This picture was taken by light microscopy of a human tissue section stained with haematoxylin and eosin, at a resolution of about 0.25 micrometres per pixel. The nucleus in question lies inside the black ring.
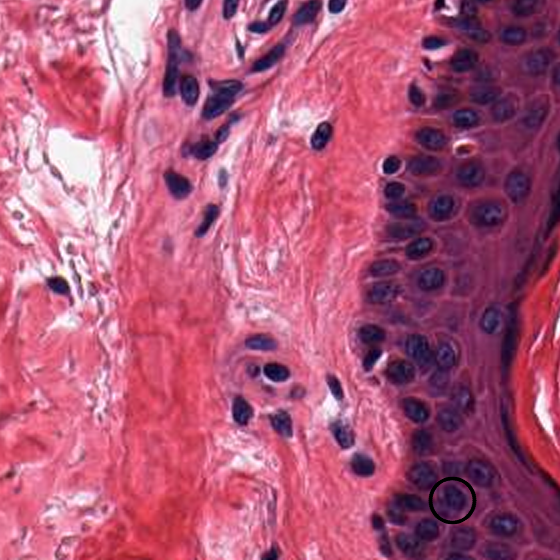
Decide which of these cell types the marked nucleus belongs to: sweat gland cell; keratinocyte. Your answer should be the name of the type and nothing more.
keratinocyte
